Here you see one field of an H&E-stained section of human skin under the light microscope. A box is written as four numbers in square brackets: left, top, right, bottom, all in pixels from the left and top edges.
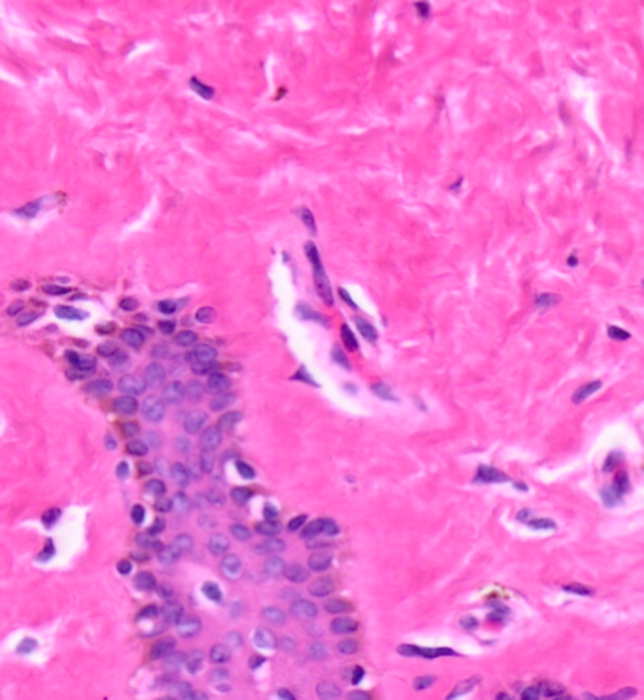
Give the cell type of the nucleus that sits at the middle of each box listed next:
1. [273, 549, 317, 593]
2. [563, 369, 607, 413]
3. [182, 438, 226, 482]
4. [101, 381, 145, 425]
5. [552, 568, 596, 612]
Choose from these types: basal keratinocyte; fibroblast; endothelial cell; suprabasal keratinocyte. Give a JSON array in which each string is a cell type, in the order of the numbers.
["basal keratinocyte", "fibroblast", "basal keratinocyte", "basal keratinocyte", "fibroblast"]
